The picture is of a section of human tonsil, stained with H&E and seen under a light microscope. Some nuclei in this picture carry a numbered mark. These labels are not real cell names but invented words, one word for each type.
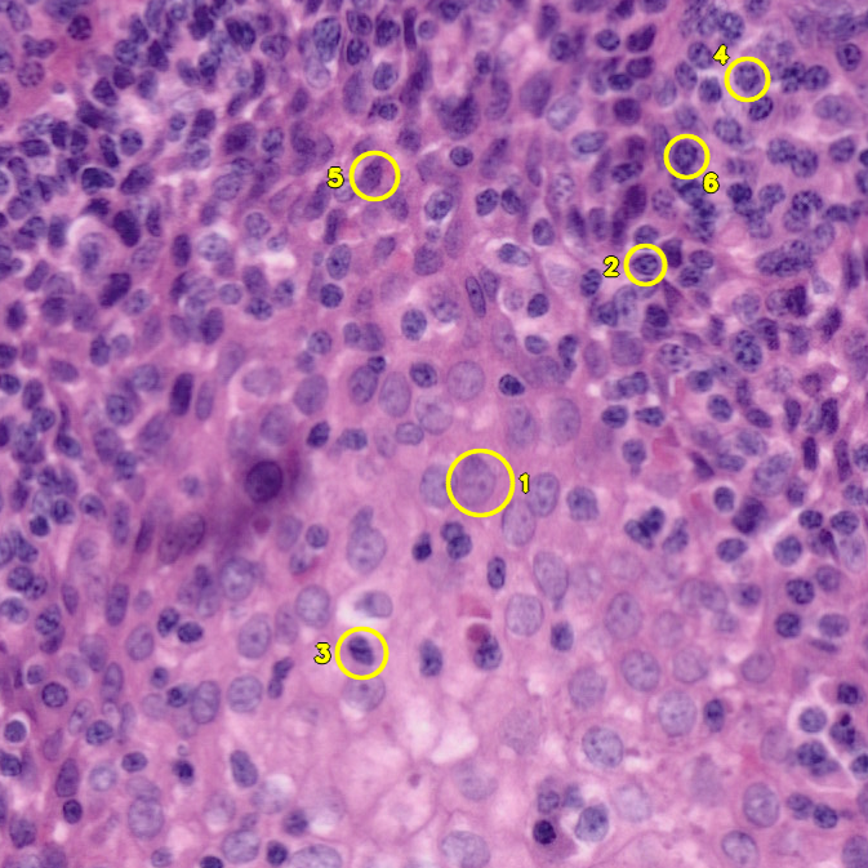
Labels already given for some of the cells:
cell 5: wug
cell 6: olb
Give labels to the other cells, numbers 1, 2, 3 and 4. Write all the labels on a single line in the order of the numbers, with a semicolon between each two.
wug; olb; wug; olb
